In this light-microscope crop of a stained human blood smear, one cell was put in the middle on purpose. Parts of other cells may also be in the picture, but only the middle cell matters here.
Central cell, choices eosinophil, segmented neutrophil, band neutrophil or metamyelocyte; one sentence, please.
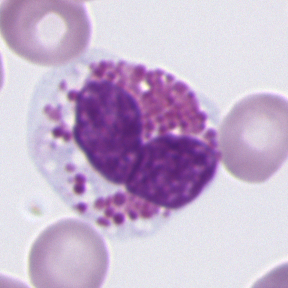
The cell in the exact centre of the crop is an eosinophil.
